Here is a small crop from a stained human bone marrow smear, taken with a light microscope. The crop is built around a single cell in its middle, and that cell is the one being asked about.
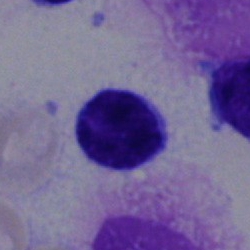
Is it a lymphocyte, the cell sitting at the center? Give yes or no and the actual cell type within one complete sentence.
Yes, the cell at the midpoint of the crop is a lymphocyte.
